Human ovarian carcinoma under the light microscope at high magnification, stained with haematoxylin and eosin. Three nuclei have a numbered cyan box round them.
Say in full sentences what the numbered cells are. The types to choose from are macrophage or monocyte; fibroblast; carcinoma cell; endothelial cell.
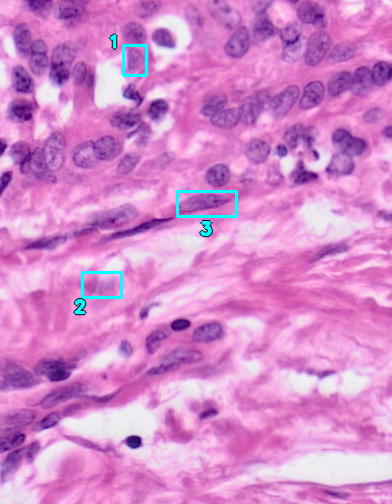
Cell 1 is a carcinoma cell, cell 2 is a fibroblast and cell 3 is an endothelial cell.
